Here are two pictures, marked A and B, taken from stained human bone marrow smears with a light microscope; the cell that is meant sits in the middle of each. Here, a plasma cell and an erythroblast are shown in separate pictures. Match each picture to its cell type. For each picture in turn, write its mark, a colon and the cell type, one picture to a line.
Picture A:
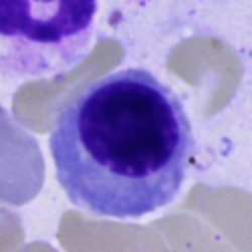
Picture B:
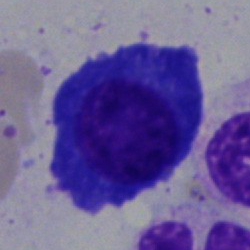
A: erythroblast
B: plasma cell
